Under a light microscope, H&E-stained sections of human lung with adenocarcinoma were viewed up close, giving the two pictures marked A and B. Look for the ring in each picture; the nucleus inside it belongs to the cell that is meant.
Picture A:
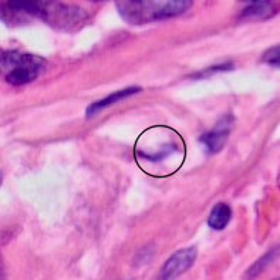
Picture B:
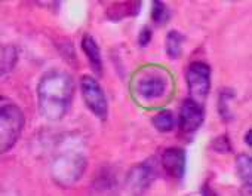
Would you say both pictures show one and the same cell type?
no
